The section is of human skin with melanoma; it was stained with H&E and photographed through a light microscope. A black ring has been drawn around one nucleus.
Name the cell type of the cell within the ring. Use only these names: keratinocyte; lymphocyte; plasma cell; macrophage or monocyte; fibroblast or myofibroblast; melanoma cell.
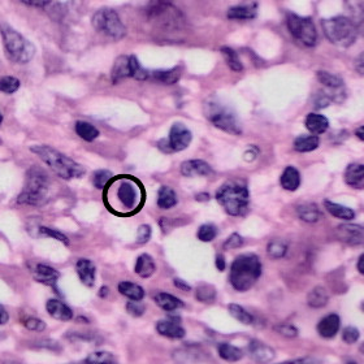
lymphocyte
